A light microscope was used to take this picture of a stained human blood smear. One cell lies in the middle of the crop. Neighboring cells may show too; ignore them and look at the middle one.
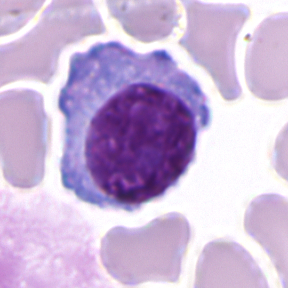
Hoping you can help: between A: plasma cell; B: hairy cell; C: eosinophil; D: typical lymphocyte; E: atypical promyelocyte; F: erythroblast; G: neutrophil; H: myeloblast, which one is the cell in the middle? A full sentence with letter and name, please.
The centered cell is a plasma cell, which is why option A is right.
